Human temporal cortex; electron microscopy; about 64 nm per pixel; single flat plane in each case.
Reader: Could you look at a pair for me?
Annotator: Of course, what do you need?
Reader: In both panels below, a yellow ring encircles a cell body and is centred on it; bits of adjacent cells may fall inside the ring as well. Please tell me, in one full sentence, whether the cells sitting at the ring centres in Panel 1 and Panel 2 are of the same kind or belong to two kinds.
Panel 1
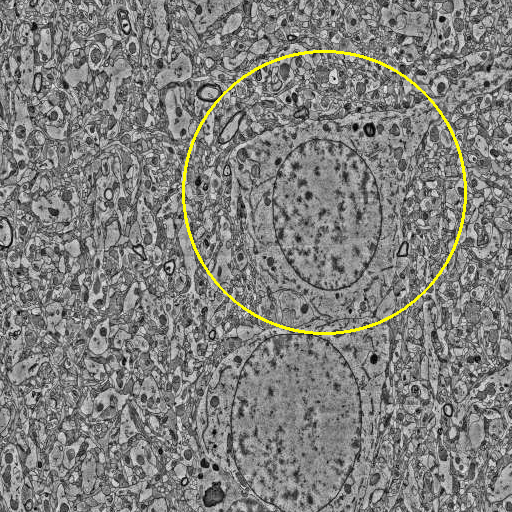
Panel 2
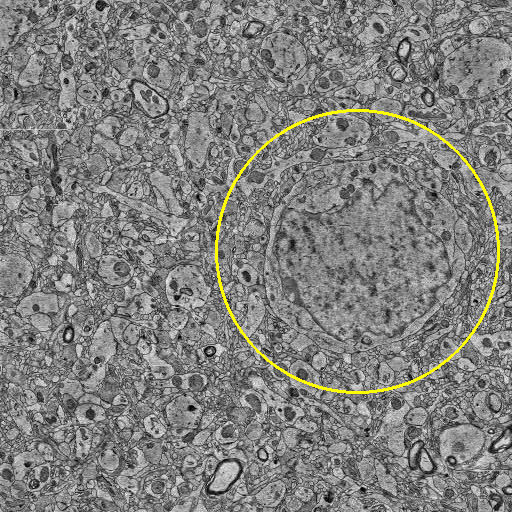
The cell at the ring's centre in Panel 1 and the one in Panel 2 belong to two kinds.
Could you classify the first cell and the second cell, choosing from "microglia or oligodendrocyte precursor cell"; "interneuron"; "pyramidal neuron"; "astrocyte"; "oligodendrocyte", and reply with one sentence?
The second cell is an interneuron, while the first is a pyramidal neuron.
